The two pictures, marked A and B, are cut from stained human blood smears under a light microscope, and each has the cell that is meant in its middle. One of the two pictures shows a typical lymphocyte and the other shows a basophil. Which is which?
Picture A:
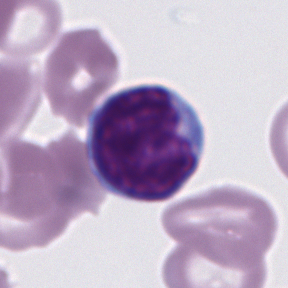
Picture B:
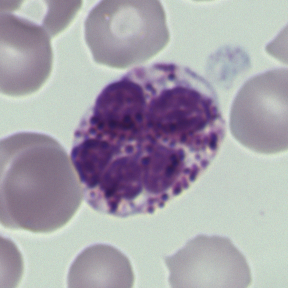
A: typical lymphocyte
B: basophil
